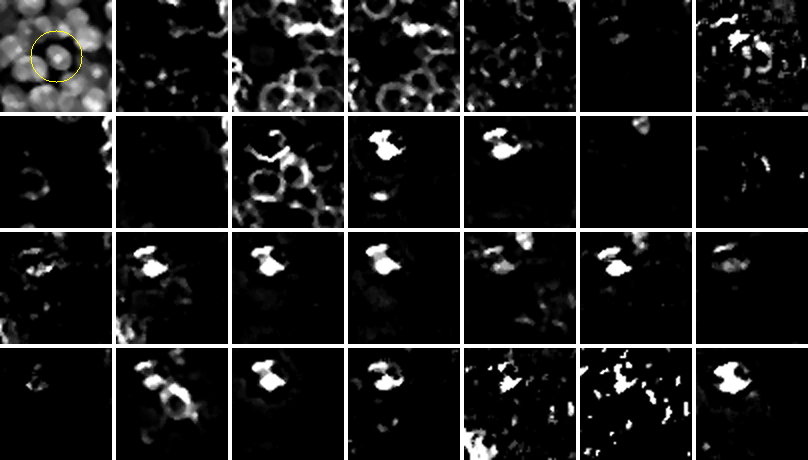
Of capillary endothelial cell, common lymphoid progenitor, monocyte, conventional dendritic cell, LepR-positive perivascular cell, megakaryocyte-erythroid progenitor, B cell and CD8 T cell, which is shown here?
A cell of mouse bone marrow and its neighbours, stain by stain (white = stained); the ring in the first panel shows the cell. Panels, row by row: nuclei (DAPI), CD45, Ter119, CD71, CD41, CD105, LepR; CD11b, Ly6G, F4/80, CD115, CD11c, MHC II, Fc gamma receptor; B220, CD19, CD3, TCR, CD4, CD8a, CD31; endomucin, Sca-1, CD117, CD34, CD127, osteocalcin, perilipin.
LepR-positive perivascular cell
